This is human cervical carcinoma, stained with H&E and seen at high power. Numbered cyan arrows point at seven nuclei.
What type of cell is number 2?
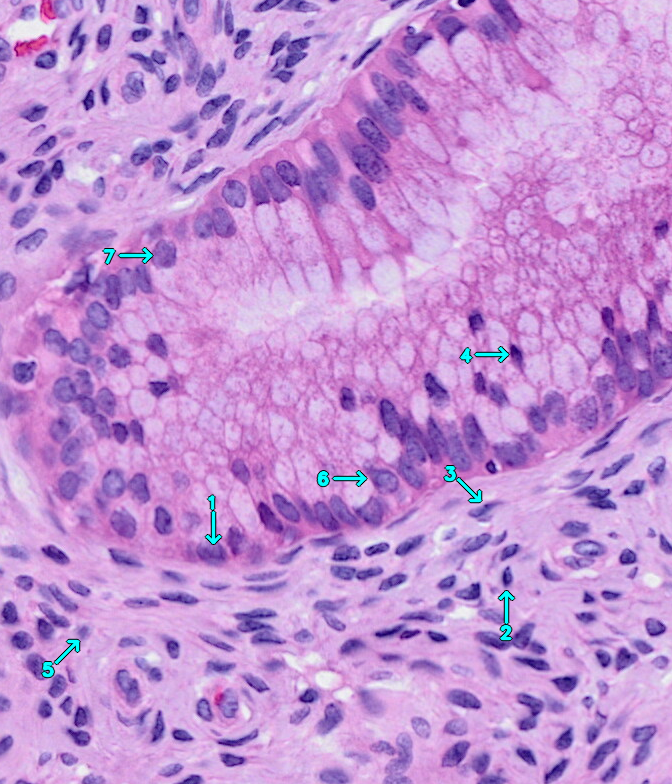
fibroblast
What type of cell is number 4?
secretory epithelial cell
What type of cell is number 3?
fibroblast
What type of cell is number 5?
fibroblast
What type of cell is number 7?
secretory epithelial cell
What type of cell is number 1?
secretory epithelial cell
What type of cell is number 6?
secretory epithelial cell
